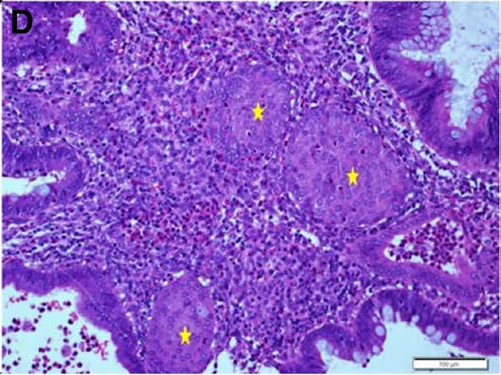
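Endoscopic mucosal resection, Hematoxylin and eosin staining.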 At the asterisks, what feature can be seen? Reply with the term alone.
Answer: squamoid morules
